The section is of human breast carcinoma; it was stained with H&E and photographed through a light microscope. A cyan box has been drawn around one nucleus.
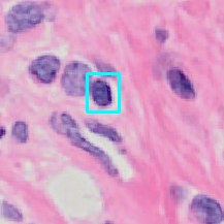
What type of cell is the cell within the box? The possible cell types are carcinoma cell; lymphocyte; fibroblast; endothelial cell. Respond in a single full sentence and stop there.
Among the cells in this section, the cell within the box is a lymphocyte.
